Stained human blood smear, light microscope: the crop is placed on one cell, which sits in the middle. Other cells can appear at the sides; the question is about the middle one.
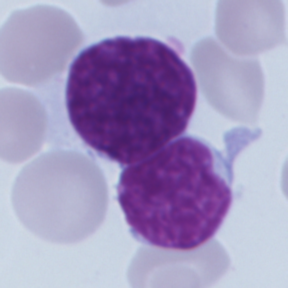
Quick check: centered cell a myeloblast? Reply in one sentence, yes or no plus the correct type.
Yes, the cell positioned at the centre of the crop is a myeloblast.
